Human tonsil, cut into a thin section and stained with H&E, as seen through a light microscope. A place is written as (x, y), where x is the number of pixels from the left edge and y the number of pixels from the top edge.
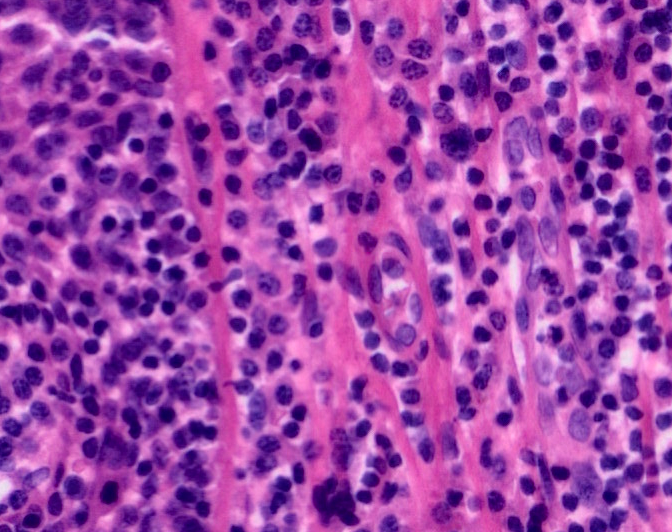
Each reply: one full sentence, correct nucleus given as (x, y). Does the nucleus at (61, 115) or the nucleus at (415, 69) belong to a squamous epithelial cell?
Of the two nuclei, the nucleus of a squamous epithelial cell is at (61, 115).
